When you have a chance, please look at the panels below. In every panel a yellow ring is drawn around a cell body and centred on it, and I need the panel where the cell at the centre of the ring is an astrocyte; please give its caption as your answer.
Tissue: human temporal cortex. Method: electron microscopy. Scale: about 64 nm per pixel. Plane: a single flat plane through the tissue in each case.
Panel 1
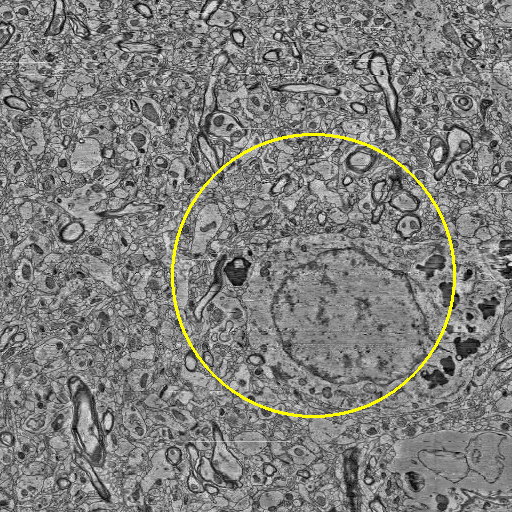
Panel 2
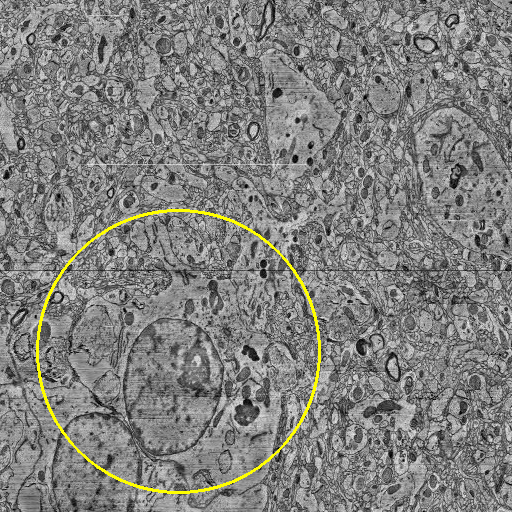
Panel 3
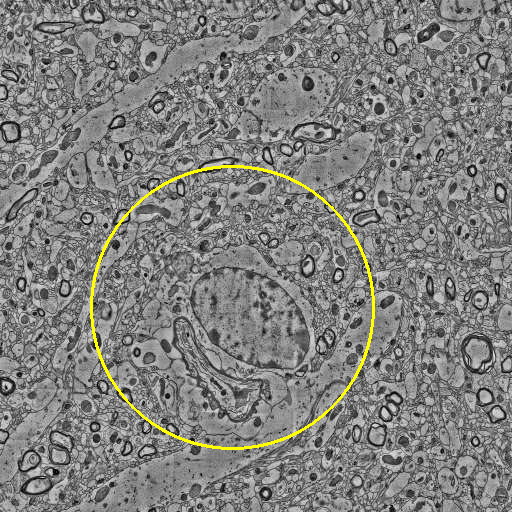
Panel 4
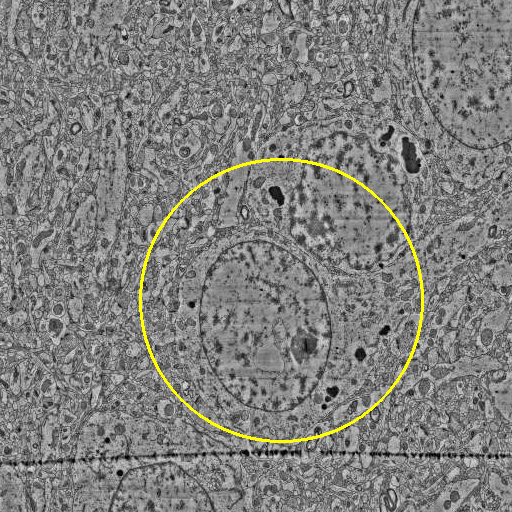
Panel 2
